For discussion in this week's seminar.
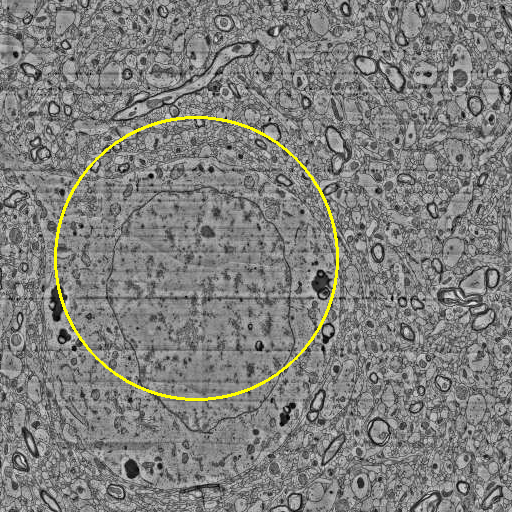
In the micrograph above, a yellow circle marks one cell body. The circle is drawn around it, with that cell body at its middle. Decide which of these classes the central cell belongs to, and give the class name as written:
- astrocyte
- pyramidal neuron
pyramidal neuron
